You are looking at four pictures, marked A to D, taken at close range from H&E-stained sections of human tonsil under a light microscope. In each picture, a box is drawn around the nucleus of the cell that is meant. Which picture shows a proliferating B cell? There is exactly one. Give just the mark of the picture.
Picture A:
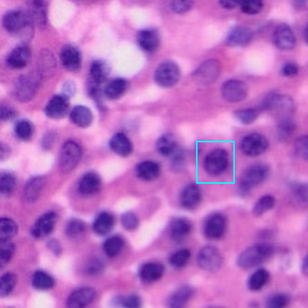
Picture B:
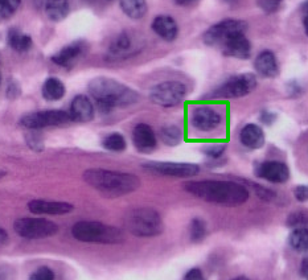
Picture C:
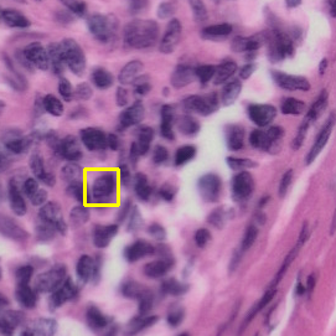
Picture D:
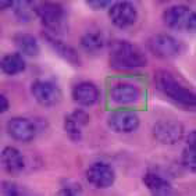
C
